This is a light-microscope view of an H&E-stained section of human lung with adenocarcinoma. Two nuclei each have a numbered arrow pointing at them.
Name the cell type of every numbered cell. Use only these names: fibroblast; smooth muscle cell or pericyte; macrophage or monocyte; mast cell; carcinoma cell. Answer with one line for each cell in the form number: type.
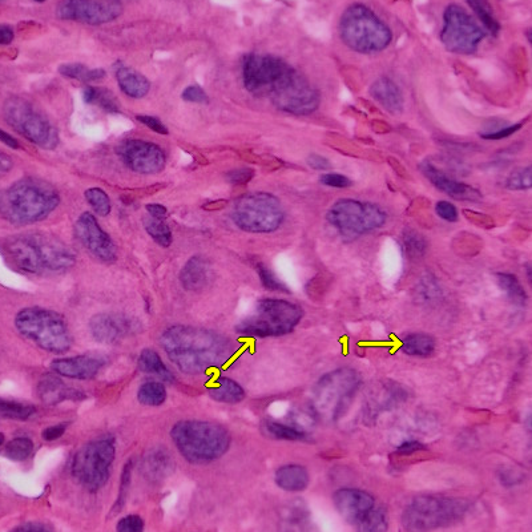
1: macrophage or monocyte
2: carcinoma cell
